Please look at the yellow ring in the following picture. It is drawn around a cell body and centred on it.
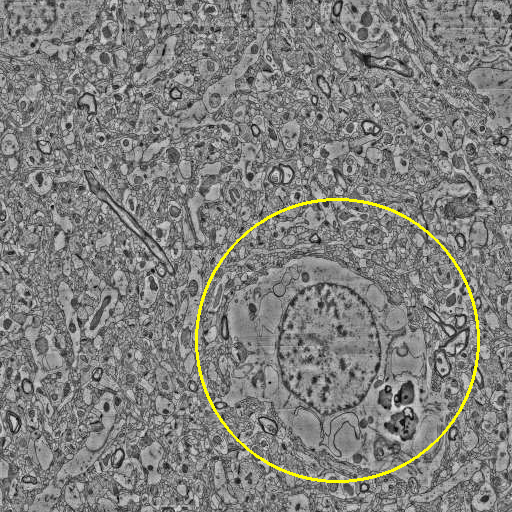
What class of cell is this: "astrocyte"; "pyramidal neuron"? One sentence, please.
The ring surrounds the cell body of an astrocyte.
